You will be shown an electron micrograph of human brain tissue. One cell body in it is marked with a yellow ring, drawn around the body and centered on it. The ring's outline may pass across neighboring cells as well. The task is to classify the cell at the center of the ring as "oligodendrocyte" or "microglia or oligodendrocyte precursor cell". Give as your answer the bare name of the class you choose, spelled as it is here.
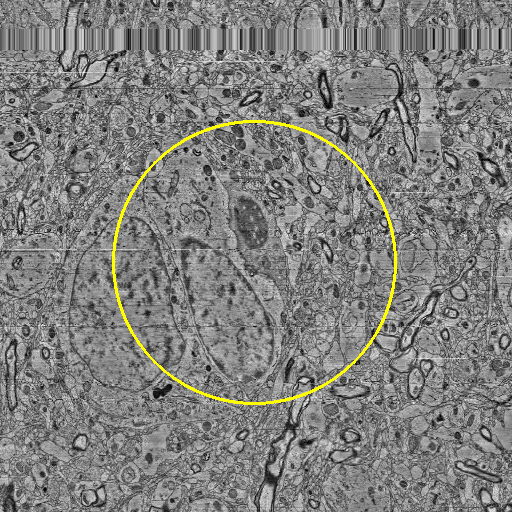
oligodendrocyte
